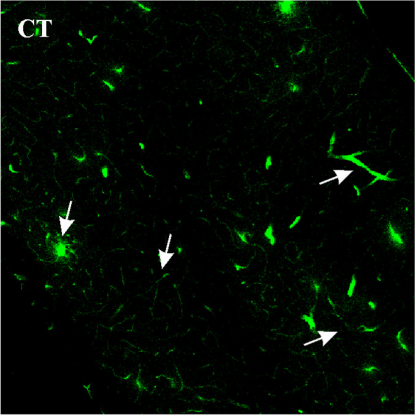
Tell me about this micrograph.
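This is a fluorescence view of brain tissue in which the green label lies mainly within blood vessels. Thin, branching and tubular vessel profiles and short vessel segments are scattered across a dark background. A few small bright spots sit on or just beside vessels. The tissue between the vessels shows no diffuse green glow.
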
